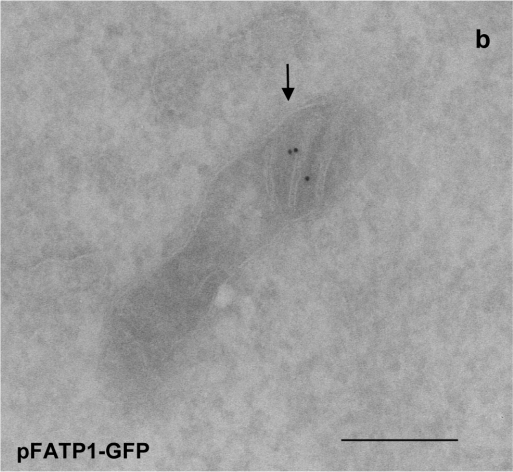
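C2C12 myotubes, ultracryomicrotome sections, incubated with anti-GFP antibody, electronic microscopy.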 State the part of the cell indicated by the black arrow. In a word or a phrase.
mitochondria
